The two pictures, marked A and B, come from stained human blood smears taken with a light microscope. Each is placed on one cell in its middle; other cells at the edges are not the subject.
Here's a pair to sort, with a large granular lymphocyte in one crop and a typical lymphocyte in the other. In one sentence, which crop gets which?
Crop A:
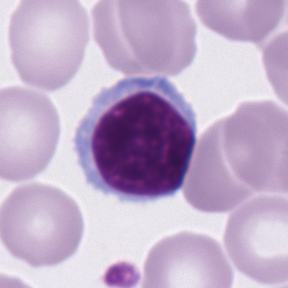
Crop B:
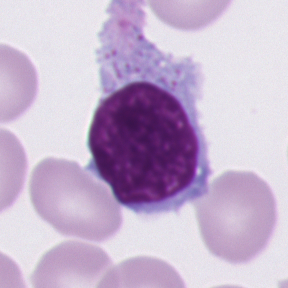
The cell in crop A is a typical lymphocyte, whereas the cell in crop B is a large granular lymphocyte.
